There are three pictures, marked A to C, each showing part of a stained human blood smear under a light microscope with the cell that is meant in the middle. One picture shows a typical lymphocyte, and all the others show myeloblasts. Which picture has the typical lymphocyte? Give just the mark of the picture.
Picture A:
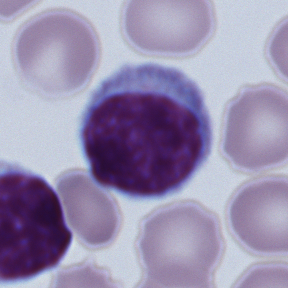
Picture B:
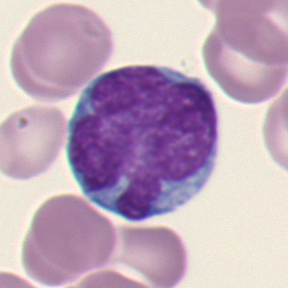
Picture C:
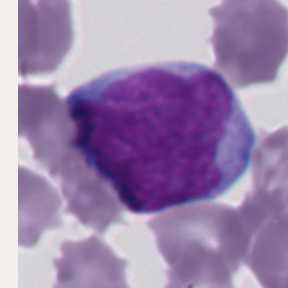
A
